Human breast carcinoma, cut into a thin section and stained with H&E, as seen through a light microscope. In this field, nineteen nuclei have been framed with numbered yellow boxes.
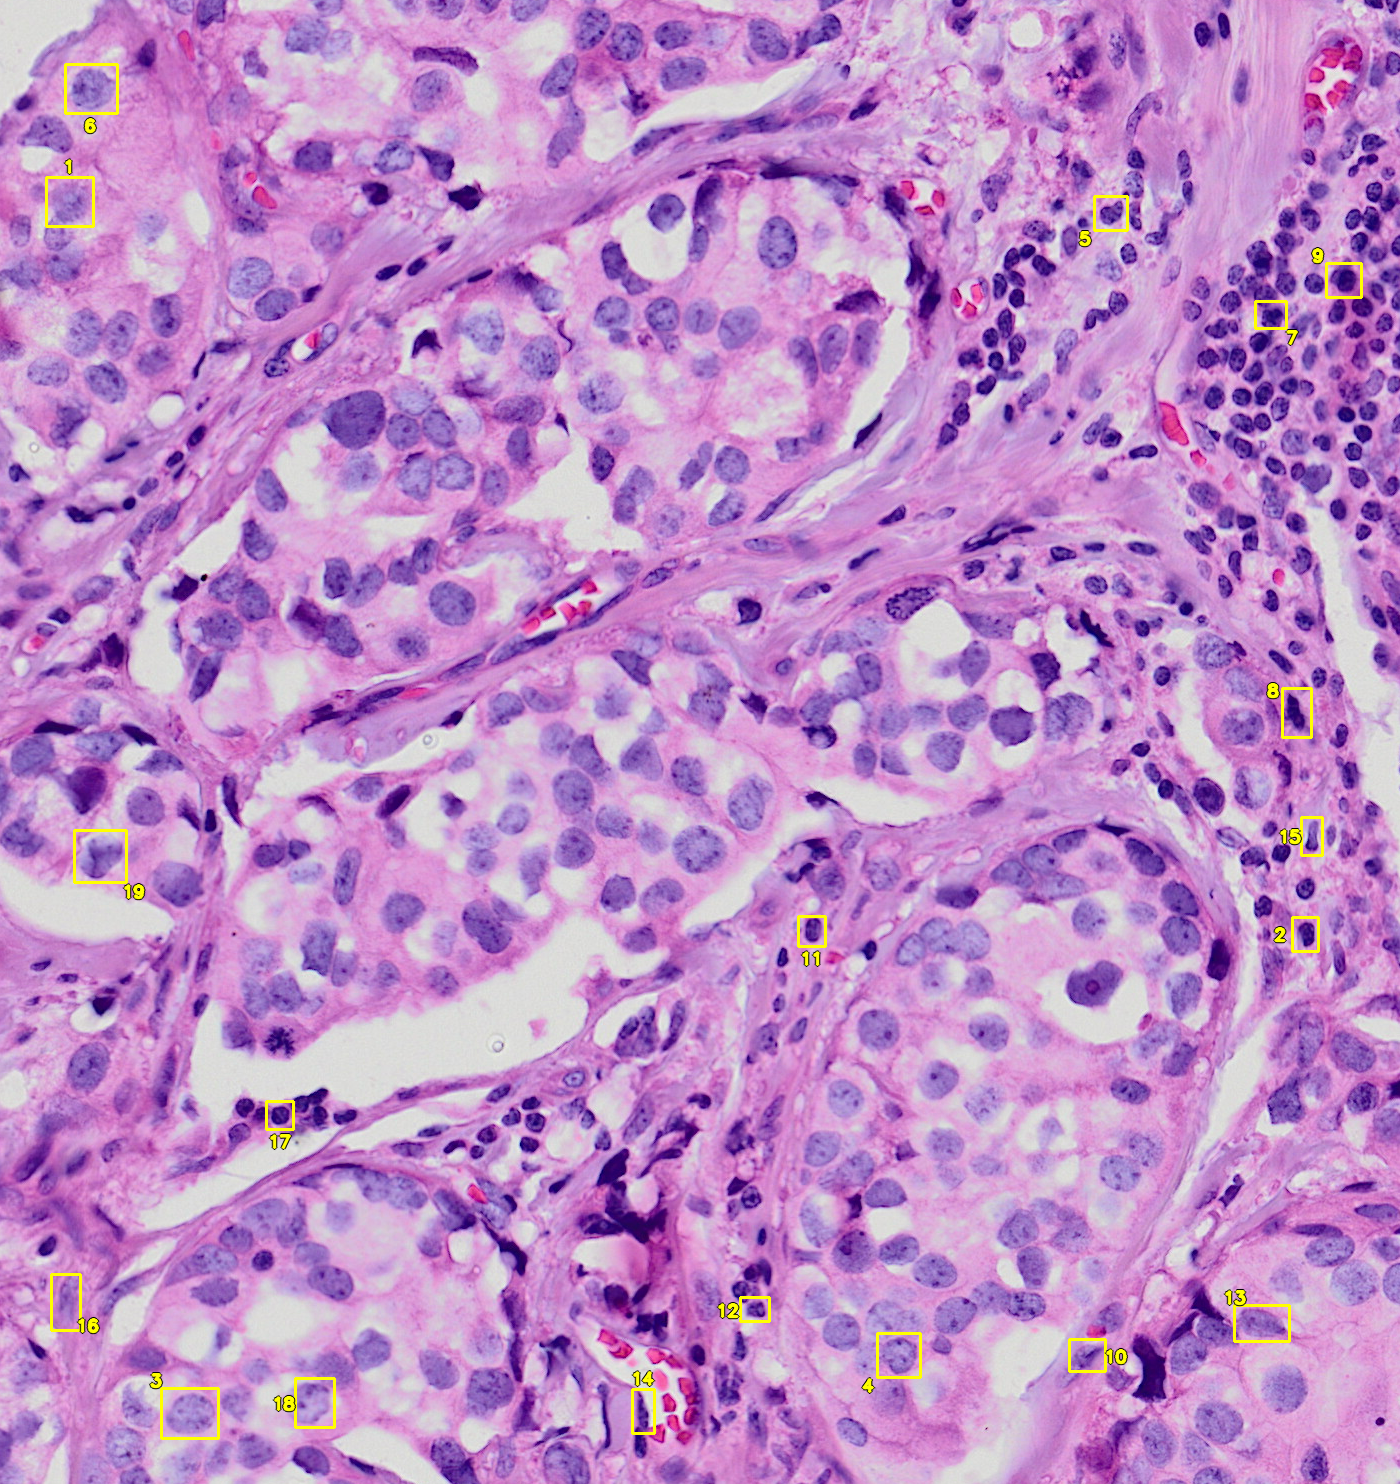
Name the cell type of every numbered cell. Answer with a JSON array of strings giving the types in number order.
["carcinoma cell", "lymphocyte", "carcinoma cell", "carcinoma cell", "lymphocyte", "carcinoma cell", "lymphocyte", "lymphocyte", "lymphocyte", "endothelial cell", "lymphocyte", "lymphocyte", "carcinoma cell", "endothelial cell", "lymphocyte", "fibroblast", "lymphocyte", "carcinoma cell", "carcinoma cell"]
